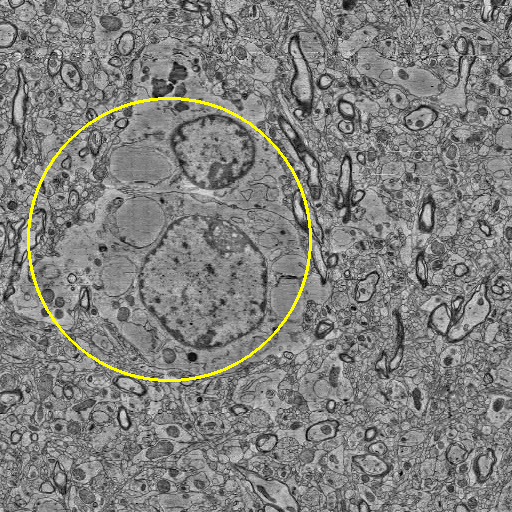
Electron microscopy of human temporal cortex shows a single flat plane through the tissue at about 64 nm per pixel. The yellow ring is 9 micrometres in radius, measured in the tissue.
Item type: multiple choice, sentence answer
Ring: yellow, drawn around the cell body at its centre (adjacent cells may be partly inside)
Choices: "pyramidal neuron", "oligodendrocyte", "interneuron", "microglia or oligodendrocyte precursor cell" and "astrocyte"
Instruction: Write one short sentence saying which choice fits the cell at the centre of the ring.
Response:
This ring is drawn around an astrocyte.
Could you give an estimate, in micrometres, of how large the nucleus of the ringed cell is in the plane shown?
About 9 micrometers across, in this plane.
